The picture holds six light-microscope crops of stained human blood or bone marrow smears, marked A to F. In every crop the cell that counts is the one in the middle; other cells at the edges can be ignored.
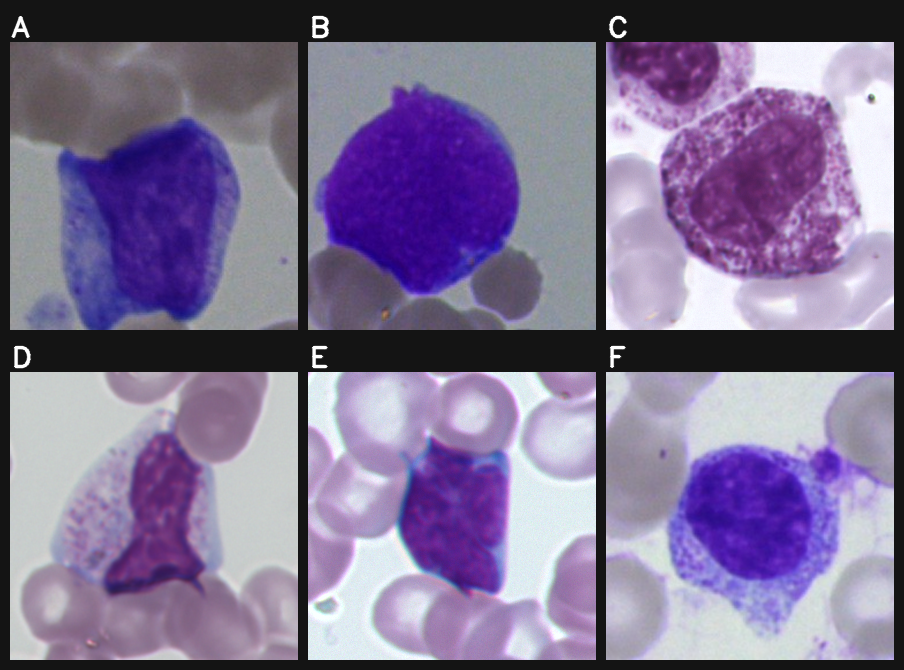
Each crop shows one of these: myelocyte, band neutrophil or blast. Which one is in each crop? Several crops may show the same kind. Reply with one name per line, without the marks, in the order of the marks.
blast
blast
myelocyte
band neutrophil
blast
myelocyte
